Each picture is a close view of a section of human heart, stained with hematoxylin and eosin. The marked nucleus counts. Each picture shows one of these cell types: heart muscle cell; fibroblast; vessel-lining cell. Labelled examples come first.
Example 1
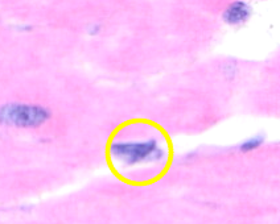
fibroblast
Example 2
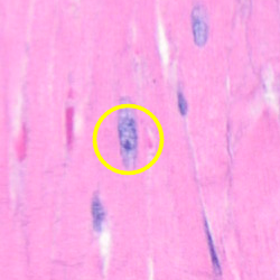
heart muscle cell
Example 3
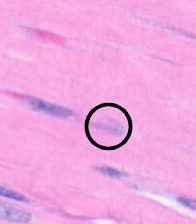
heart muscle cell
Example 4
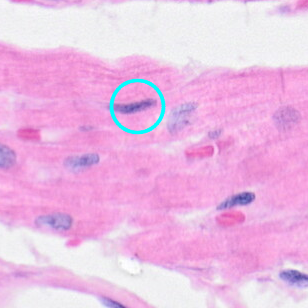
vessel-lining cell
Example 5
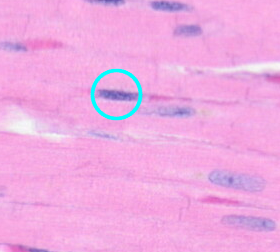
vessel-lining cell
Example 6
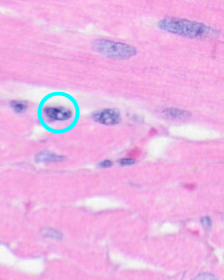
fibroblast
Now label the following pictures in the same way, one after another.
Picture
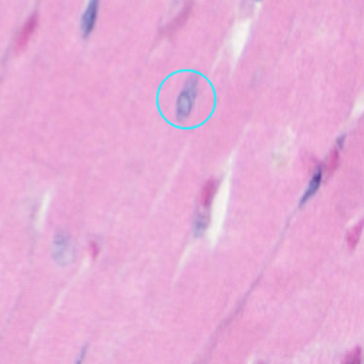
heart muscle cell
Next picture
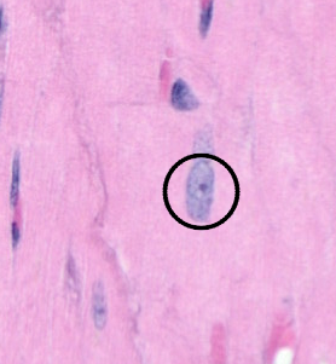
heart muscle cell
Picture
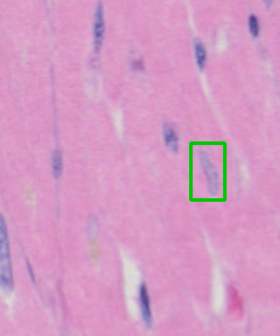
heart muscle cell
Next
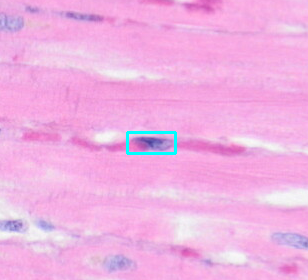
vessel-lining cell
